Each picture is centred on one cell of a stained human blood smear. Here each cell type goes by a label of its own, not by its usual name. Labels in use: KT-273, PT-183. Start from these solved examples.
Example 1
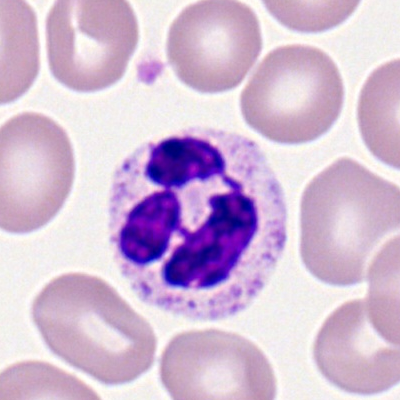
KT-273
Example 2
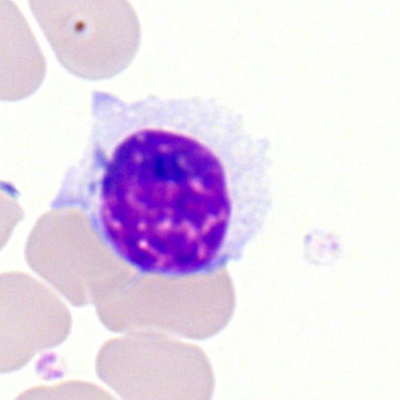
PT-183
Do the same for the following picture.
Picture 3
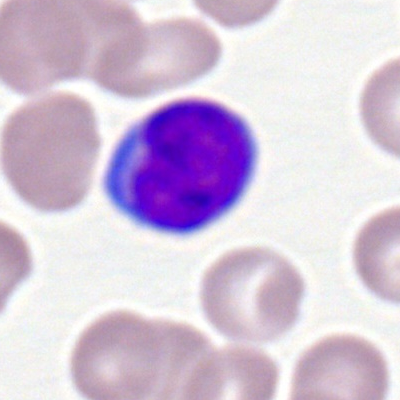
PT-183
